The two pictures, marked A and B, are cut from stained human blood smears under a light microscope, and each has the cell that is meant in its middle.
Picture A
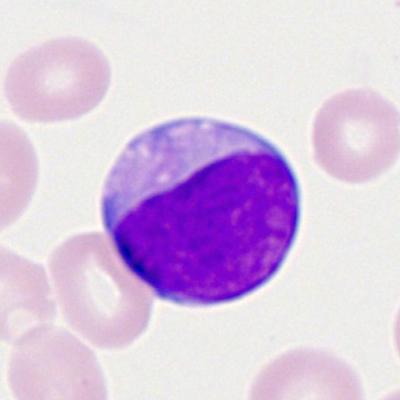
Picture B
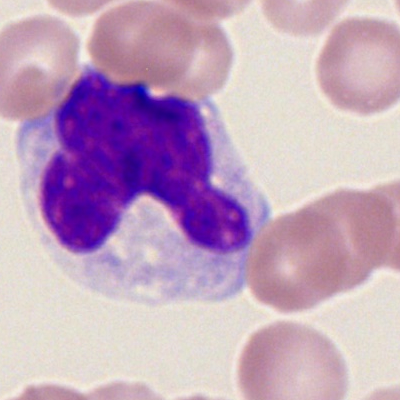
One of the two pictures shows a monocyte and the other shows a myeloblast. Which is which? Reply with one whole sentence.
The cell in picture A is a myeloblast, and the one in picture B is a monocyte.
